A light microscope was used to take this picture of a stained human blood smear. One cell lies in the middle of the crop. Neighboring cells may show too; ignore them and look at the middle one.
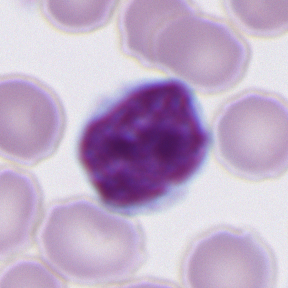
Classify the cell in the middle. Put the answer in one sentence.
The crop's centre is taken up by a lymphocyte.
